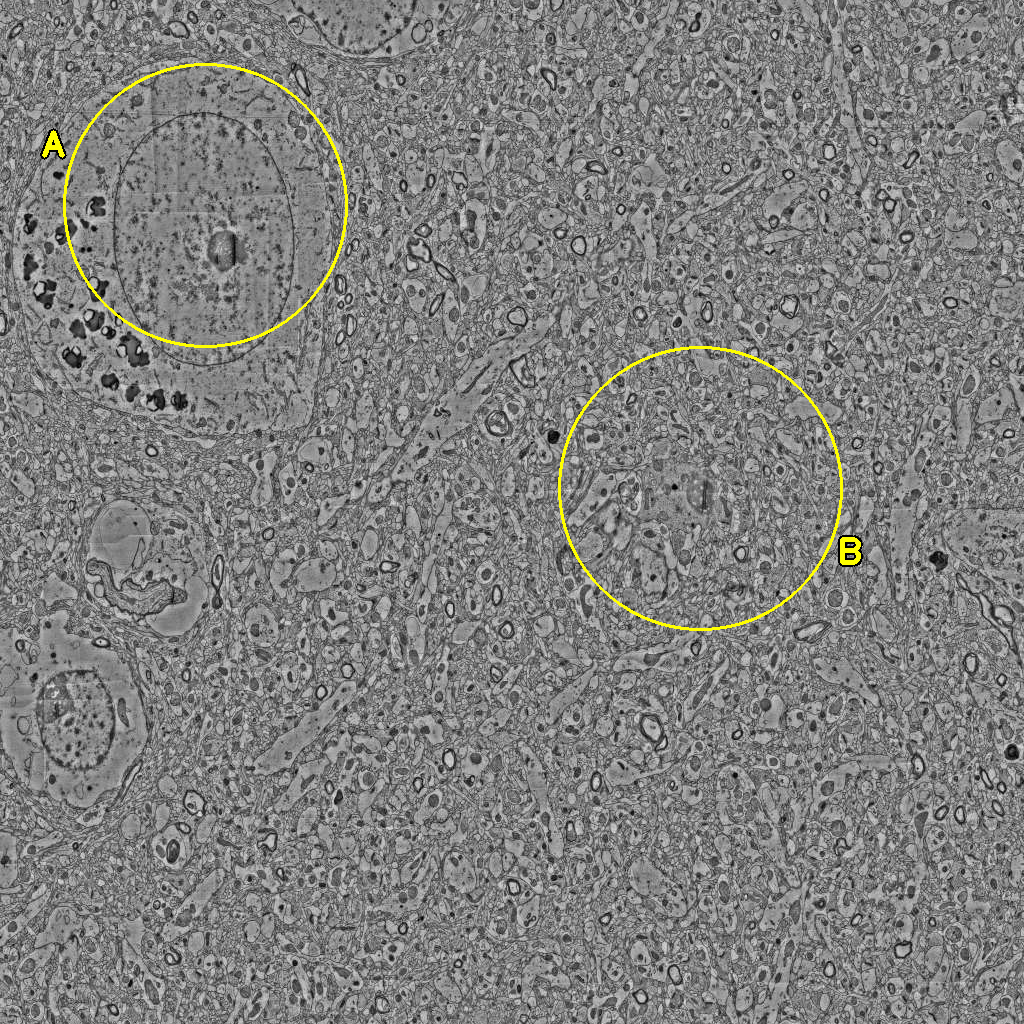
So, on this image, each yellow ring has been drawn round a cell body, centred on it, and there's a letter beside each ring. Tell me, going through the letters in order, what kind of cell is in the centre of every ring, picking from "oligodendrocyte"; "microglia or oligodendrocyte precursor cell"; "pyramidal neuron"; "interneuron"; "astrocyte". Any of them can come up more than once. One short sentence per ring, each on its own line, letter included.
Ring A has been drawn round a pyramidal neuron.
Ring B has been drawn round an oligodendrocyte.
